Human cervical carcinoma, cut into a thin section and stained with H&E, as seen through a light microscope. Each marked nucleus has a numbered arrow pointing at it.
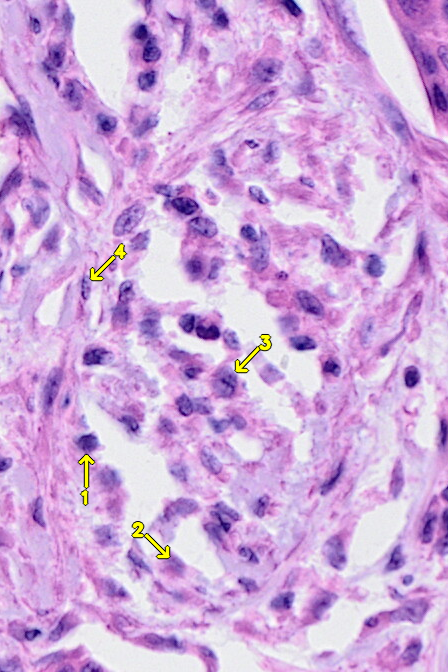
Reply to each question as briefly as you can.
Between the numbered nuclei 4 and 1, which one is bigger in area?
1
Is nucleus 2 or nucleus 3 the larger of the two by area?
3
